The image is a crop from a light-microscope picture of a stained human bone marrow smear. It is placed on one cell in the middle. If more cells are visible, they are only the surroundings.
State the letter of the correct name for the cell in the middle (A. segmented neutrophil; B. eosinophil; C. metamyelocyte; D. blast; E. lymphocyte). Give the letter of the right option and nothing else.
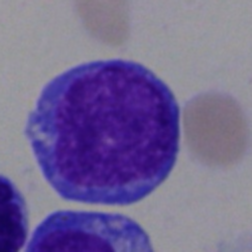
D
